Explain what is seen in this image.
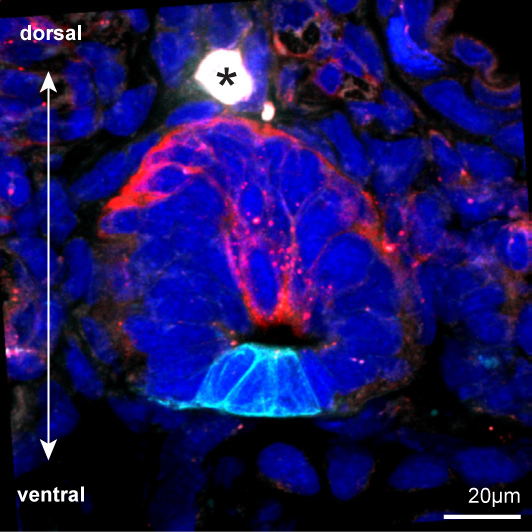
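Cross section of spinal cord showing a rounded tube of densely packed neuroepithelial cells with blue nuclei arranged radially around a small central lumen set toward the lower side. Red membrane outlines and radial processes run through the upper and lateral parts of the tube, with scattered red puncta. Below the lumen a fan of tall columnar cells is outlined in cyan, forming a wedge at the bottom midline of the tube. A bright white blob marked by the asterisk lies just outside the top of the tube. Surrounding tissue contains loosely arranged cells with blue nuclei.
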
